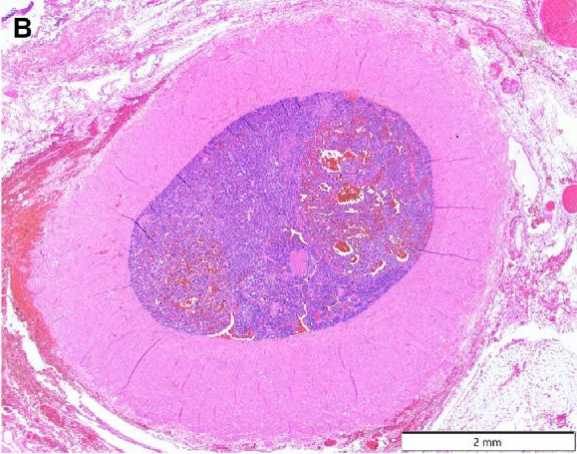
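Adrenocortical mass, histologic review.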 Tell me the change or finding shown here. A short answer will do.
Large vessel infiltration.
